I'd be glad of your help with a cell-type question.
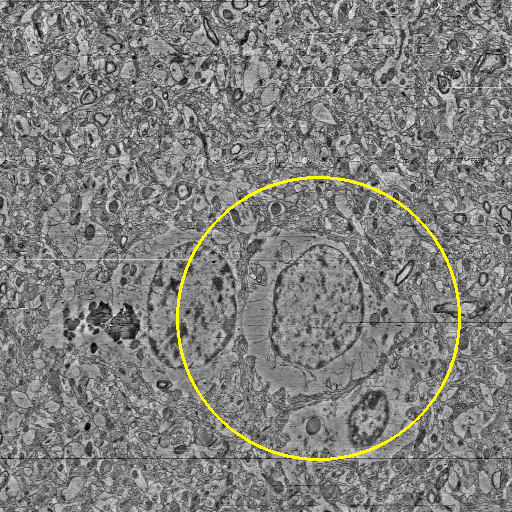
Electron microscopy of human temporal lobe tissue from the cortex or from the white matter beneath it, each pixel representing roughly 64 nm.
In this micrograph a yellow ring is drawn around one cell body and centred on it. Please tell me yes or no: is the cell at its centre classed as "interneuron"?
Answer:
no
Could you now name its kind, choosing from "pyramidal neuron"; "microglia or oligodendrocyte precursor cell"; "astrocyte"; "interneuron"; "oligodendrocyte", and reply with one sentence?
As it turns out, the cell at the ring centre is an astrocyte.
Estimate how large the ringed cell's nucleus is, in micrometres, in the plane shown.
The nucleus works out at approximately 8 by 6 micrometres in this plane.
